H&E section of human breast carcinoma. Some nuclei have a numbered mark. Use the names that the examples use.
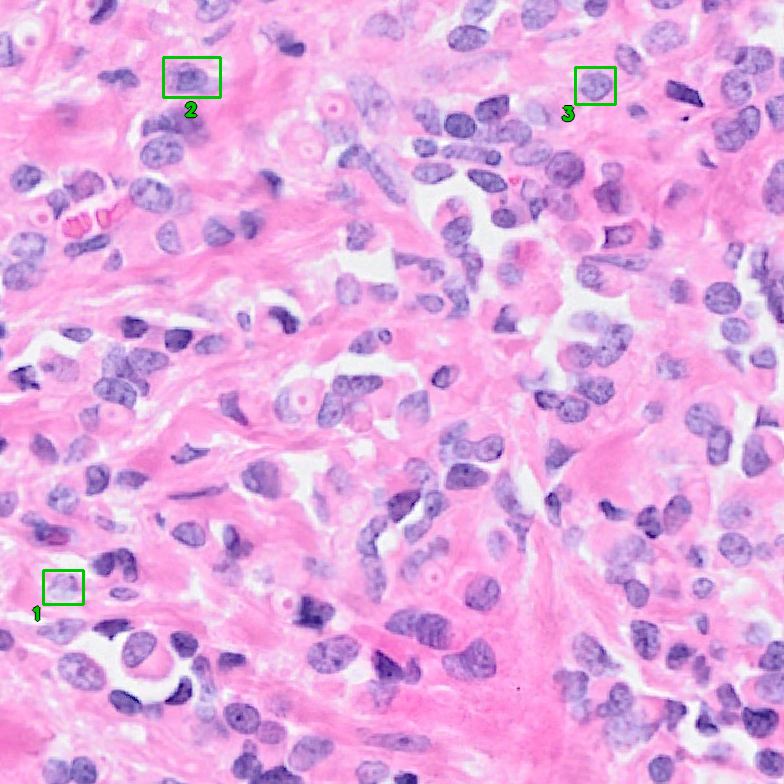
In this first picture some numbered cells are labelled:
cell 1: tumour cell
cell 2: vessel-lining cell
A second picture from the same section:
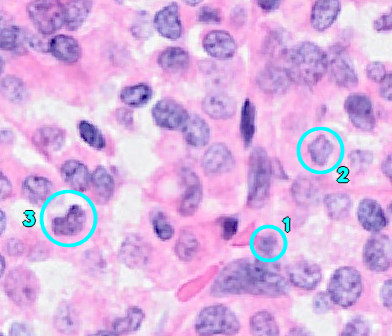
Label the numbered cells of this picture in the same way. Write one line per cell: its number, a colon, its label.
1: vessel-lining cell
2: tumour cell
3: tumour cell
